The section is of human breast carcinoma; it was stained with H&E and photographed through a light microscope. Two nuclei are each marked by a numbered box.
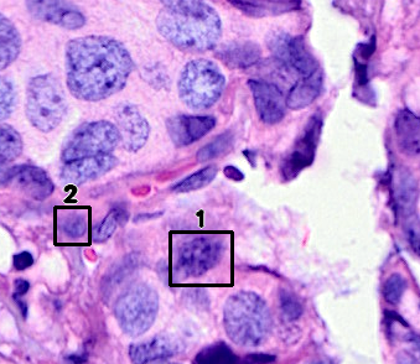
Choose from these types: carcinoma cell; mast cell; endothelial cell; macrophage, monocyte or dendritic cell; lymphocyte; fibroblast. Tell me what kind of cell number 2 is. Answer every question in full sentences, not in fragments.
The one labeled 2 is an endothelial cell, to put it simply.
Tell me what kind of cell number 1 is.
The cell identified by the number 1 is a carcinoma cell.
